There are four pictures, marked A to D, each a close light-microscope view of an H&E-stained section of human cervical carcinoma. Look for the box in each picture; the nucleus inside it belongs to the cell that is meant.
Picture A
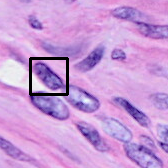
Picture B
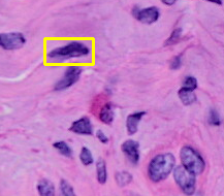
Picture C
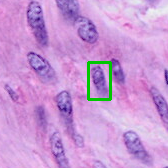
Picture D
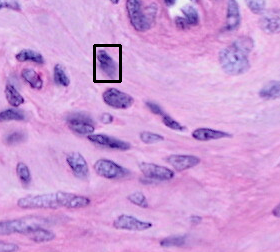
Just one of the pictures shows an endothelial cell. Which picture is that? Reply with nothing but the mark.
A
